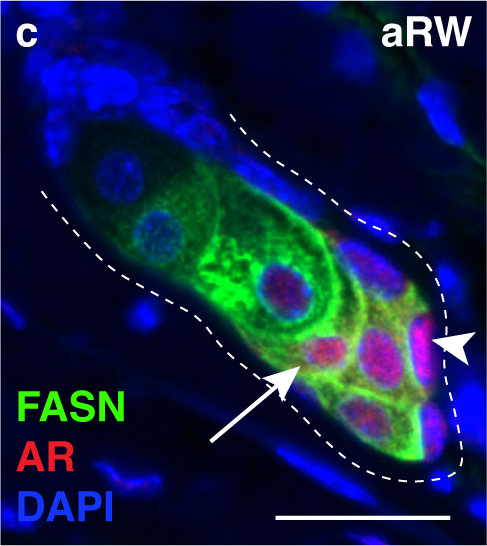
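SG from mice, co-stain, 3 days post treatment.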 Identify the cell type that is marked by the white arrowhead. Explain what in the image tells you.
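The arrowhead points to a small cell at the outer rim of the outlined gland. The marked cell is flatter and smaller than the large central cells. The answer: progenitor cells.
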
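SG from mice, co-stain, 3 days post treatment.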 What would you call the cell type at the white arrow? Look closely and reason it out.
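The arrow points to a cell inside the outlined gland. Cells of the gland interior are large with abundant green cytoplasm and round central nuclei.
Sebocytes.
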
